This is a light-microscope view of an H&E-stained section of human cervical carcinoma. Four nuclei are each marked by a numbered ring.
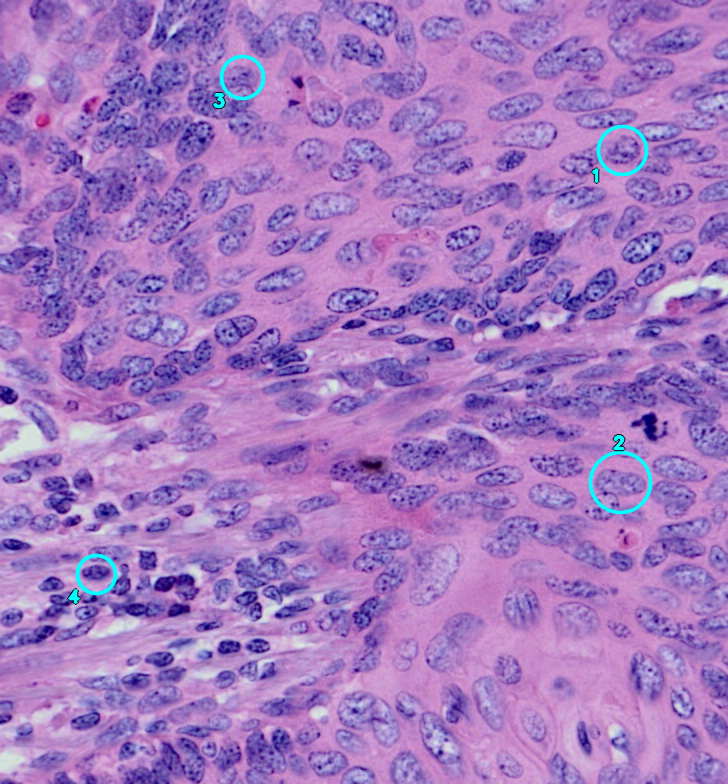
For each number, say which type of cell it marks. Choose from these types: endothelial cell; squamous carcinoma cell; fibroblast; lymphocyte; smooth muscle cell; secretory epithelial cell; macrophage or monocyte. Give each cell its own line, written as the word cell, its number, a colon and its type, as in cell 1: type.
cell 1: squamous carcinoma cell
cell 2: squamous carcinoma cell
cell 3: squamous carcinoma cell
cell 4: lymphocyte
